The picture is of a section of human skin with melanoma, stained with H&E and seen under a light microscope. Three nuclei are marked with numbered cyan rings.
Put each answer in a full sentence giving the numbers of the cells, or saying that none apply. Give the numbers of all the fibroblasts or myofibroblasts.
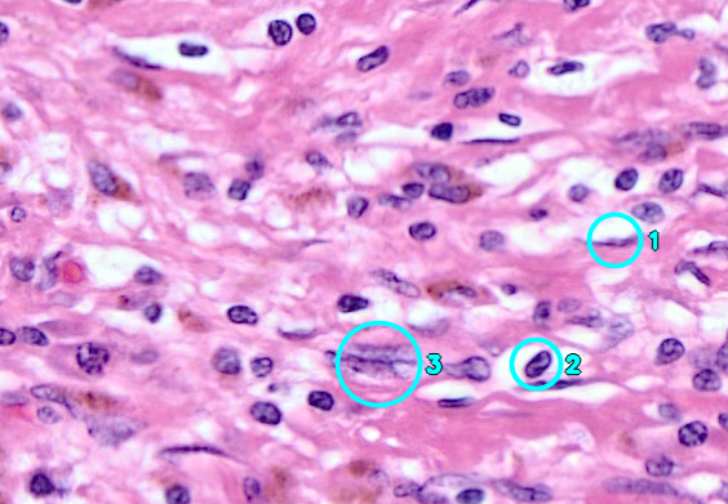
Nothing but cell 1 is a fibroblast or myofibroblast among the numbered ones.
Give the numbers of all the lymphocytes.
Only the cell at mark 2 is a lymphocyte, and no other marked cell is.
